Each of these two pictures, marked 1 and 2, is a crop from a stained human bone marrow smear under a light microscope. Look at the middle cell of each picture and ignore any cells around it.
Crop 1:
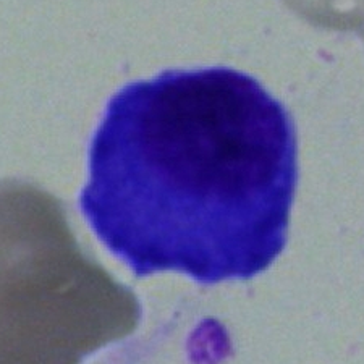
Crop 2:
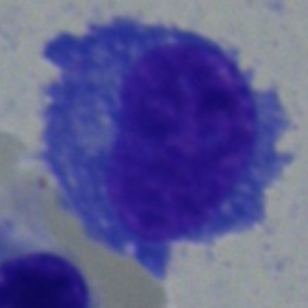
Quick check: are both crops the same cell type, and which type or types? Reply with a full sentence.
Yes, the middle cells in both crops are indeed plasma cells.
